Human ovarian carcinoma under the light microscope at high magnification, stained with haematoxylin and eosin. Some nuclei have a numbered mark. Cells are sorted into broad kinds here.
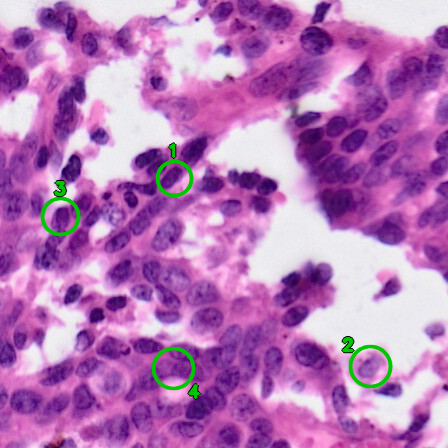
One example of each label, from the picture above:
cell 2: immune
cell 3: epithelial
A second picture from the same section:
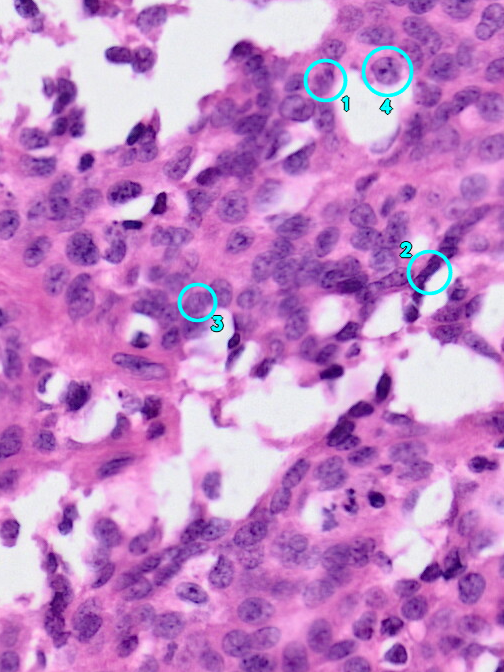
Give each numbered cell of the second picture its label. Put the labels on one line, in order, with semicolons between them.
epithelial; epithelial; epithelial; immune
